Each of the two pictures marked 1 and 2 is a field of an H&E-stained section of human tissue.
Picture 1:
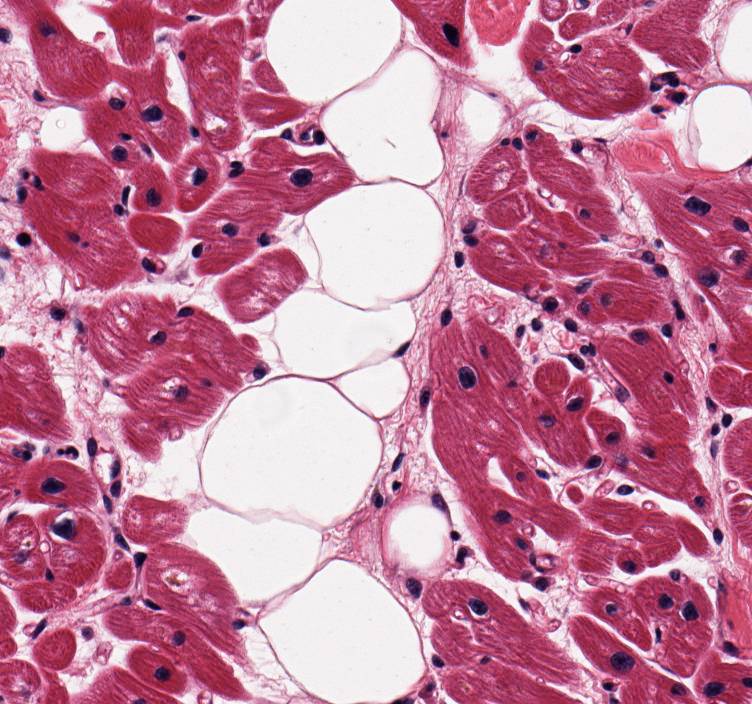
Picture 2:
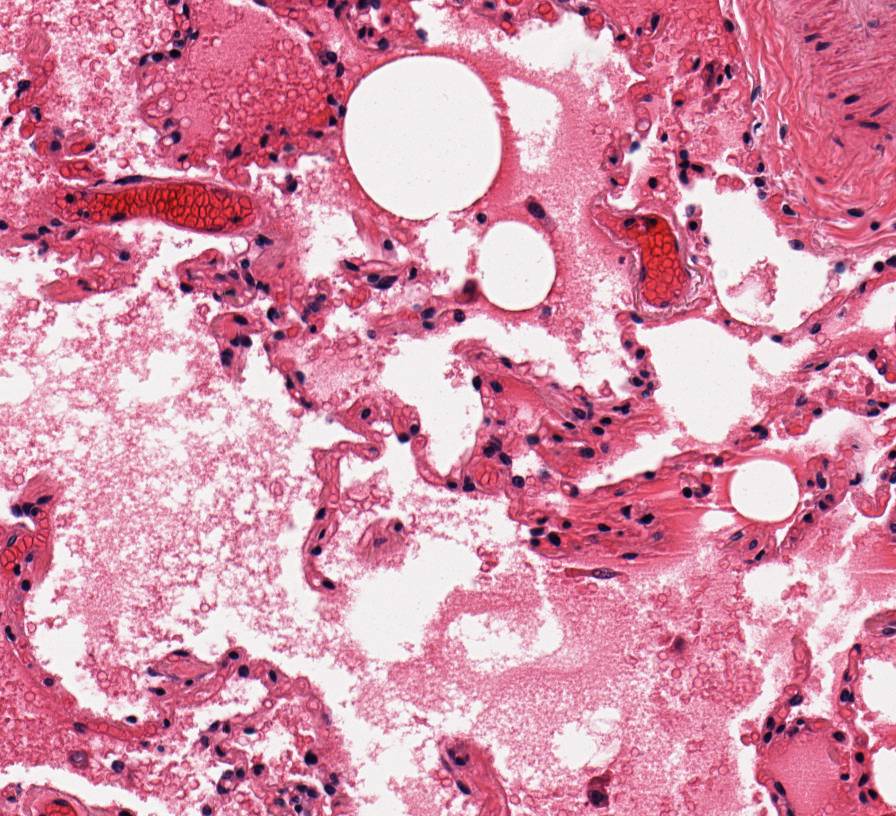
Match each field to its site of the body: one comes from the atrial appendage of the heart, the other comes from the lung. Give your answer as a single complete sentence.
Picture 2 comes from the lung, while picture 1 comes from the atrial appendage of the heart.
